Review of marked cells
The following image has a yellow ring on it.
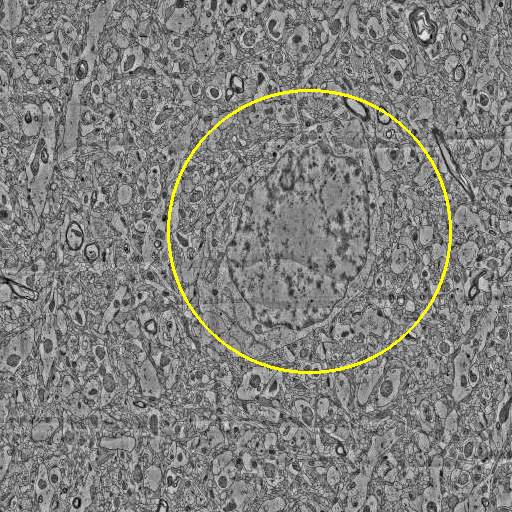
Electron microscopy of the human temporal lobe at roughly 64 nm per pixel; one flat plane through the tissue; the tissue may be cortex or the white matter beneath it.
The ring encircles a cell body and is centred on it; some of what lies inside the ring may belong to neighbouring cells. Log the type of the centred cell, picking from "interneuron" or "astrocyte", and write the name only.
interneuron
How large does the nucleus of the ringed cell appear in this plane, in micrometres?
Approximately 11 micrometres long and 9 micrometres wide, in this plane.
